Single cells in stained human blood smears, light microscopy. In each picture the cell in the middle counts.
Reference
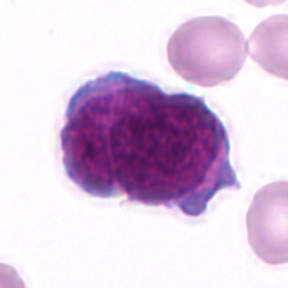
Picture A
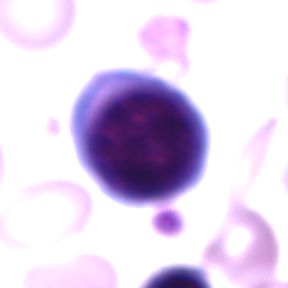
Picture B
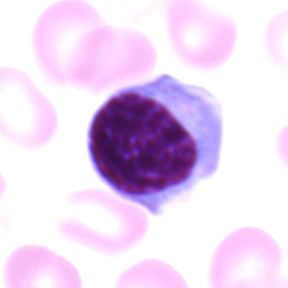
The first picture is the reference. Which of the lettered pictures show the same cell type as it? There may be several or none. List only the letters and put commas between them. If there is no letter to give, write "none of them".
none of them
